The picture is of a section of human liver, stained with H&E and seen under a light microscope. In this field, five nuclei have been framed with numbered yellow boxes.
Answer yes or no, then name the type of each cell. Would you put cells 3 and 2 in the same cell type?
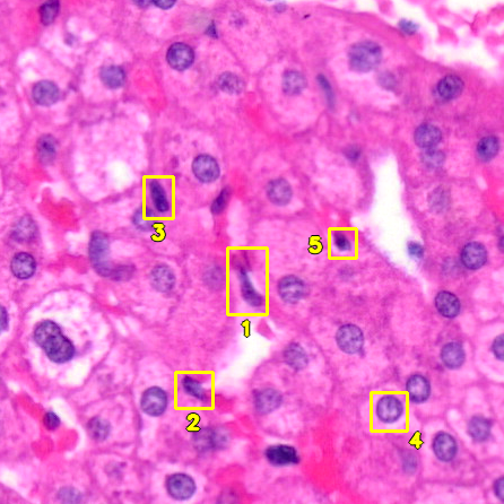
Yes, both cells, 3 and 2, are fibroblasts or stellate cells.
